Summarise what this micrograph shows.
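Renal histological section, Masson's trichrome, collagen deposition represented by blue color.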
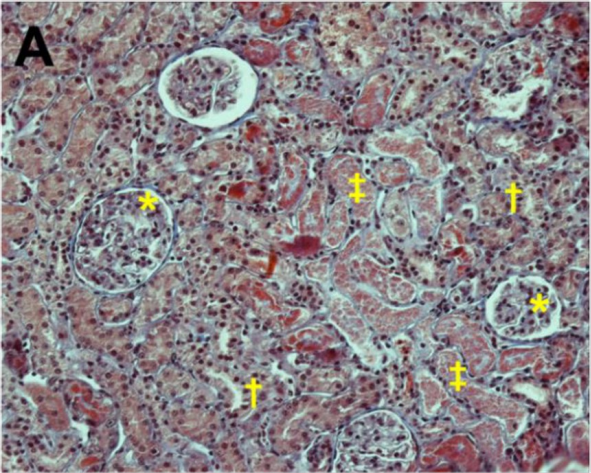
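Kidney cortex showing glomeruli among densely packed tubules. The glomeruli are rounded capillary tufts rich in dark nuclei, each within a clear space bounded by a thin capsule. Tubules are lined by cuboidal epithelium with pink-red cytoplasm and round dark nuclei. Many tubular lumina contain homogeneous red-orange material, and several tubules have irregular, disorganized linings. Thin bluish strands run in the interstitium between tubules.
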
